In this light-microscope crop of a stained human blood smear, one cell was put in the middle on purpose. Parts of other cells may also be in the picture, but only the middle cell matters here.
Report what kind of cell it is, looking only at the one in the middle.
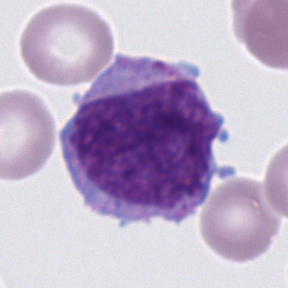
atypical promyelocyte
